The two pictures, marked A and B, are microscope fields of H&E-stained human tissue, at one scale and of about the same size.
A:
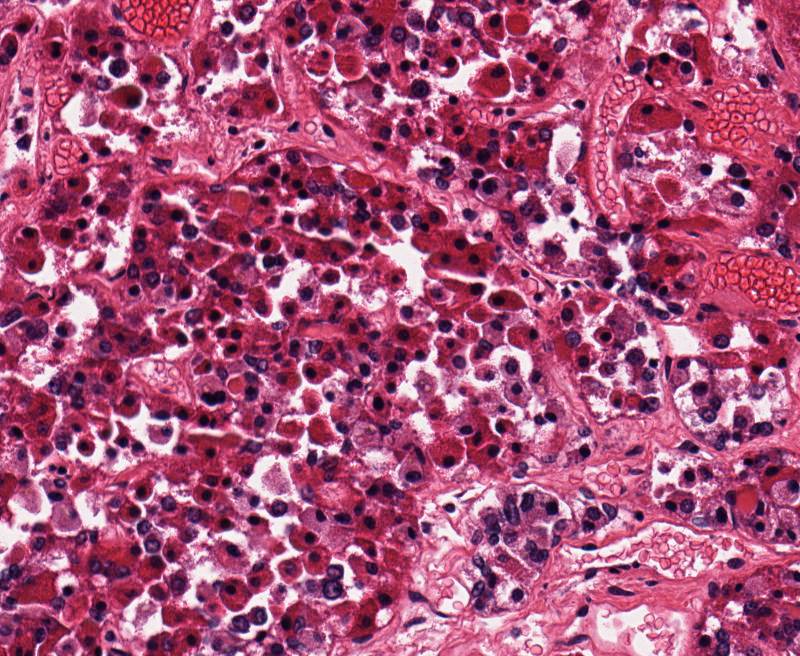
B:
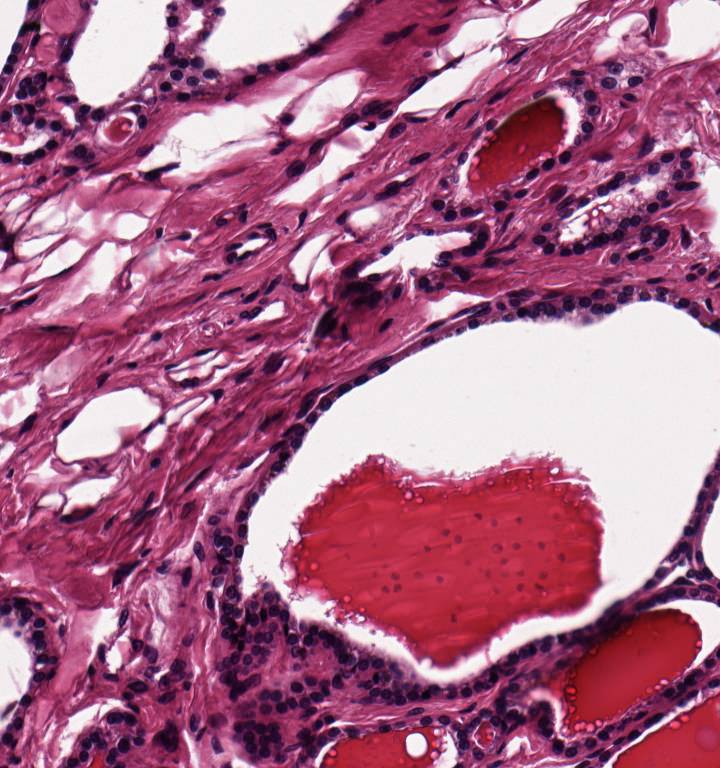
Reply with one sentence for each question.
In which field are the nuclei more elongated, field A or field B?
The nuclei are more elongated in field B.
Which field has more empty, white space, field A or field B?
It is field B in which white space covers the larger part.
